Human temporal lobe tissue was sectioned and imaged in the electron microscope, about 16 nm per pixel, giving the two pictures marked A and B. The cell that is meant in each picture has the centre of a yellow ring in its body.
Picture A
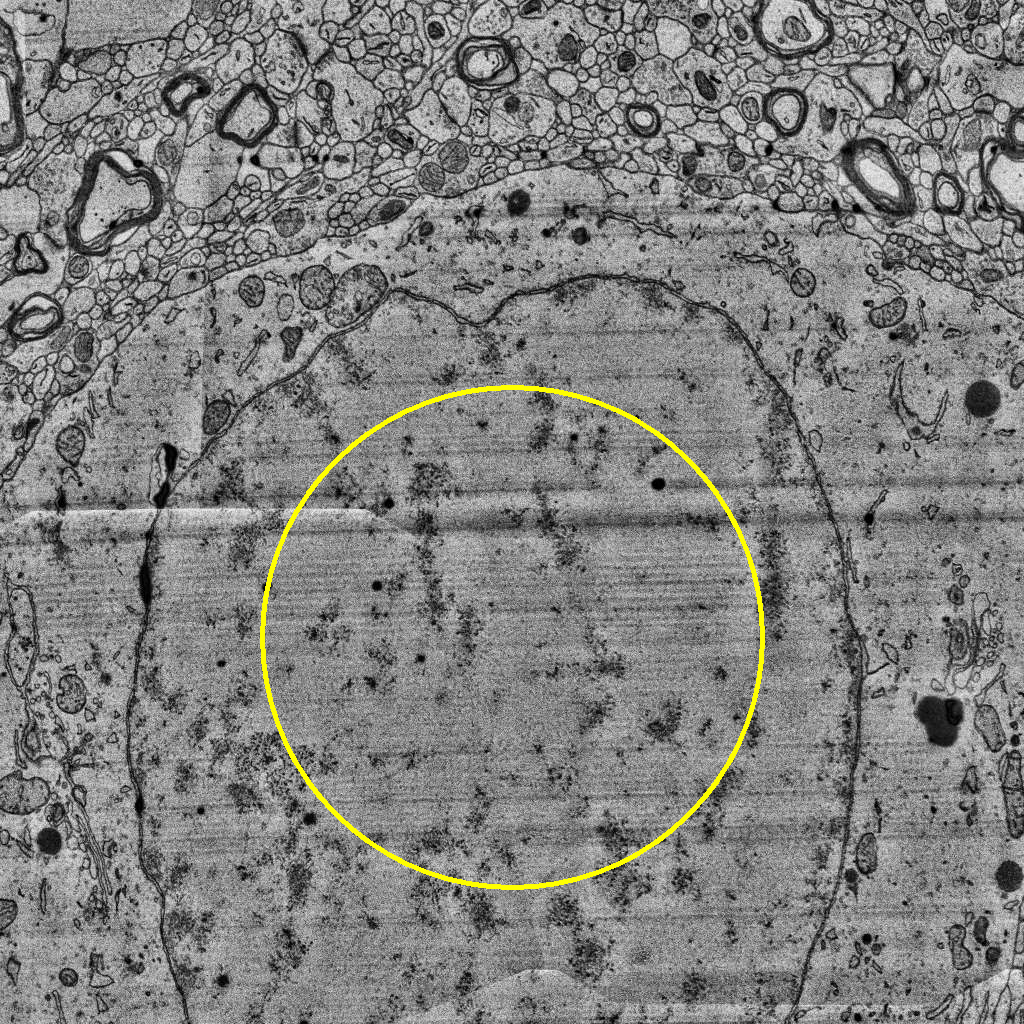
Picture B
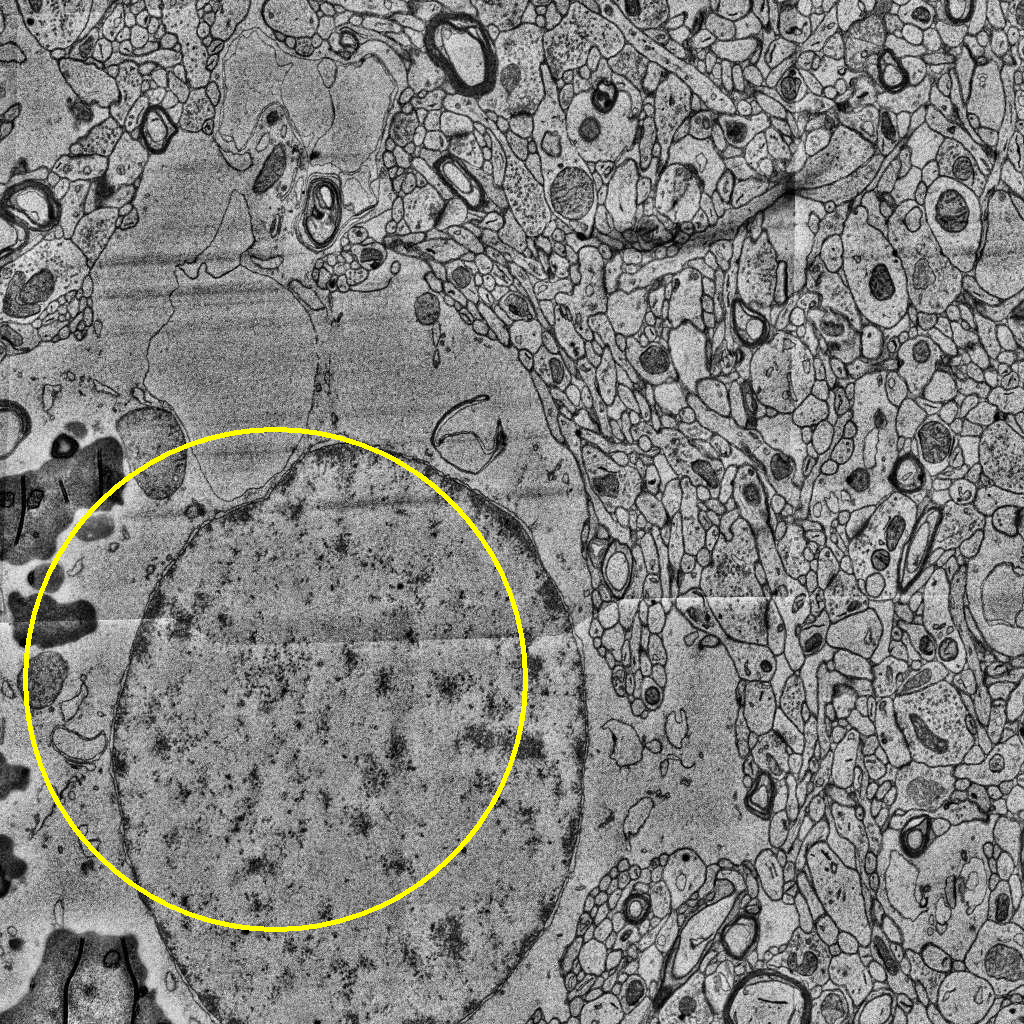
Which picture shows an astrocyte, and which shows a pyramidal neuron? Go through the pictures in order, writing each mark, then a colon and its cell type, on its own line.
A: pyramidal neuron
B: astrocyte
